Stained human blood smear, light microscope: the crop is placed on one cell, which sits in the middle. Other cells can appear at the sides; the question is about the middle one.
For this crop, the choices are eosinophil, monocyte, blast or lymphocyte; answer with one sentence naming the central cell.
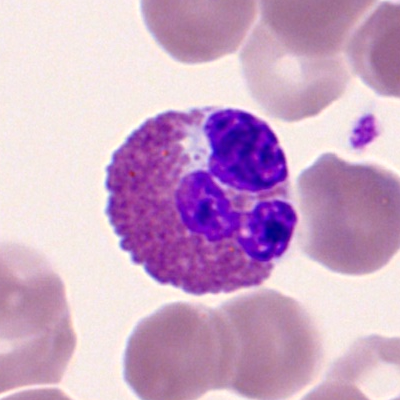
The cell found in the middle of this crop is an eosinophil.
